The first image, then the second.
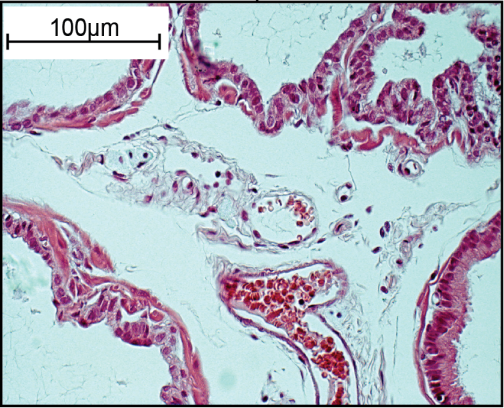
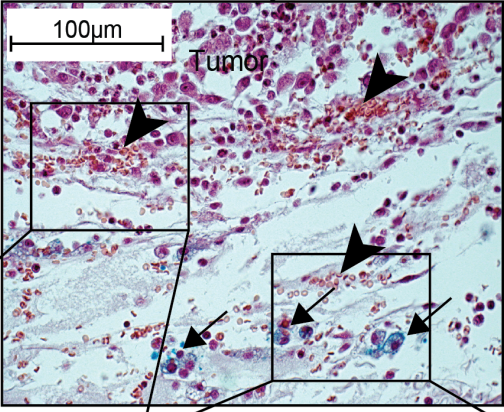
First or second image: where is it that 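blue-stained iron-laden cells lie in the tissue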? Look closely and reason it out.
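The second image. Second image: several large cells with blue cytoplasmic granules lie in the stroma among scattered red blood cells. First image: no blue-stained cells; red blood cells are seen only inside vessels.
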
